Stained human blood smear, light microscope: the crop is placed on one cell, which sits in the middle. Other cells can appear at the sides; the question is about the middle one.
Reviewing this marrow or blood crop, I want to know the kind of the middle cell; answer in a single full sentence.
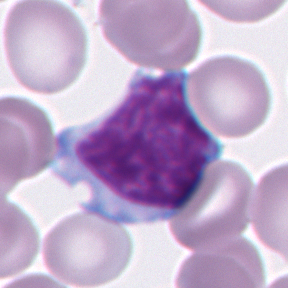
Framed in the middle of the crop is a typical lymphocyte.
